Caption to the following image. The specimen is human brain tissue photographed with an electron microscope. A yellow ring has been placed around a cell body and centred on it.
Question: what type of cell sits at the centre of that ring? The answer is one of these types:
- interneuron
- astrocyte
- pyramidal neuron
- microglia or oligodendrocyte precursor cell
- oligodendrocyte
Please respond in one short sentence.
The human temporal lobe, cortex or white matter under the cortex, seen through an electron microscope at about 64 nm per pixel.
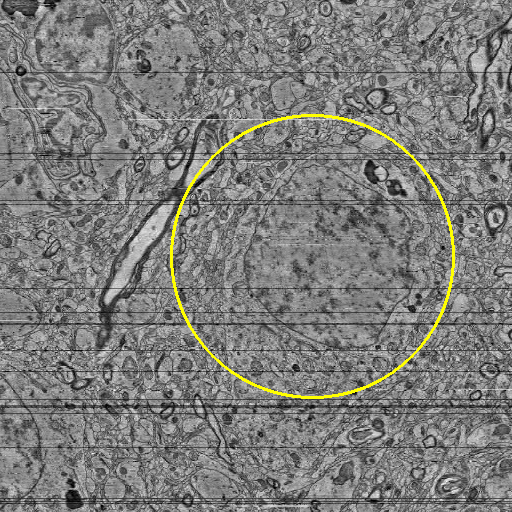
The ring surrounds the cell body of a pyramidal neuron.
